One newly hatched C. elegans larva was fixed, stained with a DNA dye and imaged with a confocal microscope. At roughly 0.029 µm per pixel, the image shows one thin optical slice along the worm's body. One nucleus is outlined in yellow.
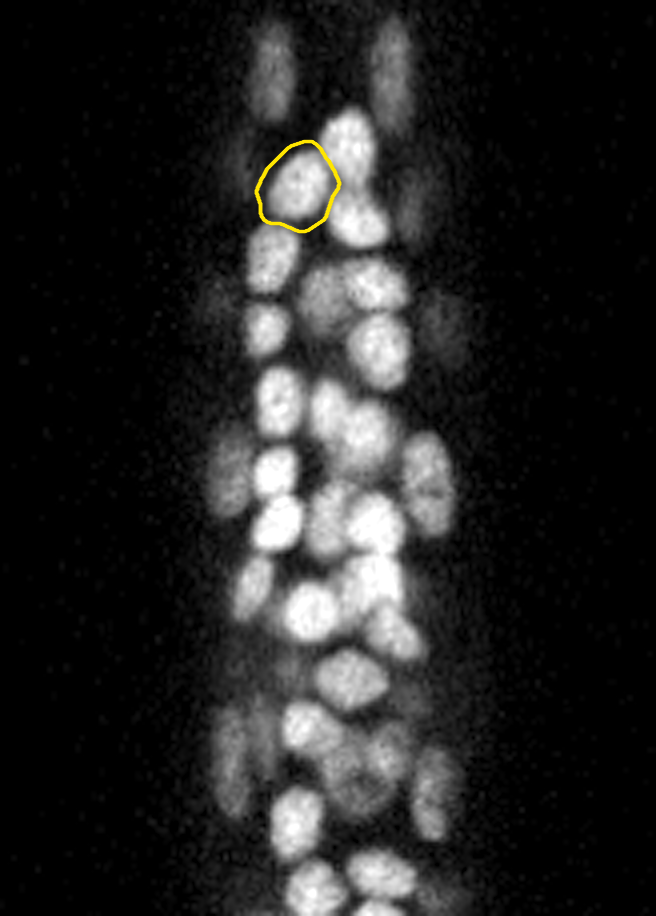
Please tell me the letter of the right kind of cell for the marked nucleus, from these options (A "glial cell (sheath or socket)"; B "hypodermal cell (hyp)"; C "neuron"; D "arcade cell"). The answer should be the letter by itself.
B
